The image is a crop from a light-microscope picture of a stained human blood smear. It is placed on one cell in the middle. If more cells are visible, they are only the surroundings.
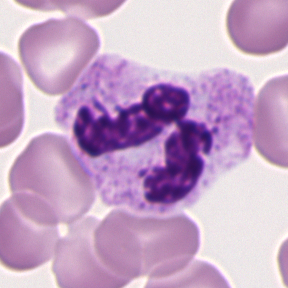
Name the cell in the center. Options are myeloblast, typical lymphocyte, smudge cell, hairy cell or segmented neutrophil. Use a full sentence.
The central cell in this smear crop is a segmented neutrophil.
